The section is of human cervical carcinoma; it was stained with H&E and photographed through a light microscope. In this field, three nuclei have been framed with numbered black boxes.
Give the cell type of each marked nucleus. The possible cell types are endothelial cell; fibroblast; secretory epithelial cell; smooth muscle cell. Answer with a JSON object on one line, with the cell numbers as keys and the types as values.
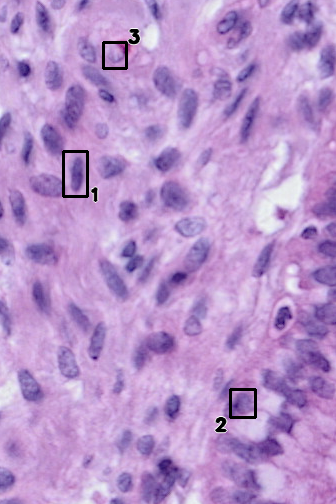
{"1": "fibroblast", "2": "secretory epithelial cell", "3": "endothelial cell"}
